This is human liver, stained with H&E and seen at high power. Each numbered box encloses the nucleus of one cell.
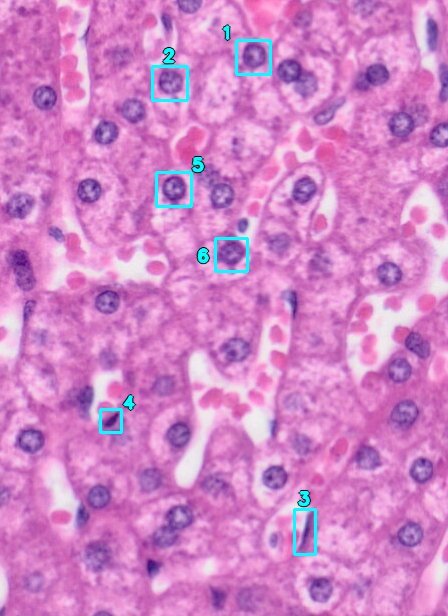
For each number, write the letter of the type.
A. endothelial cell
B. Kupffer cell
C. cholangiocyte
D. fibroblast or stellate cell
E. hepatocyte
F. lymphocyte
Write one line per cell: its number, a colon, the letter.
1: E
2: E
3: A
4: D
5: E
6: E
